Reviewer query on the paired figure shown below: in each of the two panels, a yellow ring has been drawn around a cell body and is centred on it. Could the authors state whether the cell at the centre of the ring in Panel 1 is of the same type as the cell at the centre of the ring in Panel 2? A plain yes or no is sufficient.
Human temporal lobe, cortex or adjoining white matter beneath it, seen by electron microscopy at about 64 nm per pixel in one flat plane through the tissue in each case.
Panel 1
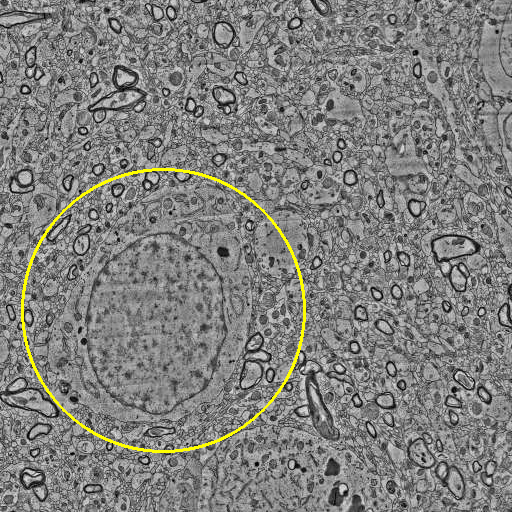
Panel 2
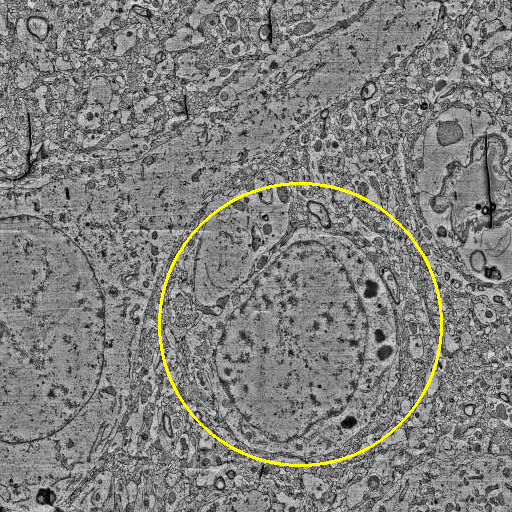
yes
